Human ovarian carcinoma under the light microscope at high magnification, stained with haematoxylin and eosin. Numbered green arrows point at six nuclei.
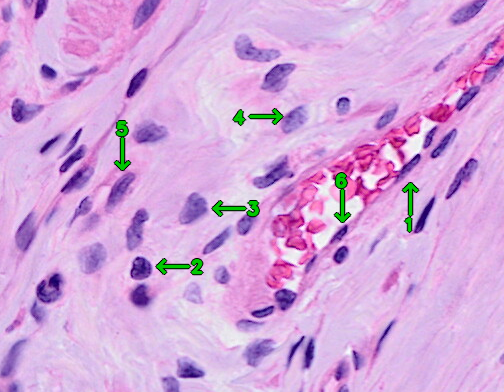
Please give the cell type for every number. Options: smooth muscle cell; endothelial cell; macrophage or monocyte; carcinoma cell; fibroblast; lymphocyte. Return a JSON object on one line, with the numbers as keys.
{"1": "endothelial cell", "2": "lymphocyte", "3": "fibroblast", "4": "fibroblast", "5": "endothelial cell", "6": "endothelial cell"}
